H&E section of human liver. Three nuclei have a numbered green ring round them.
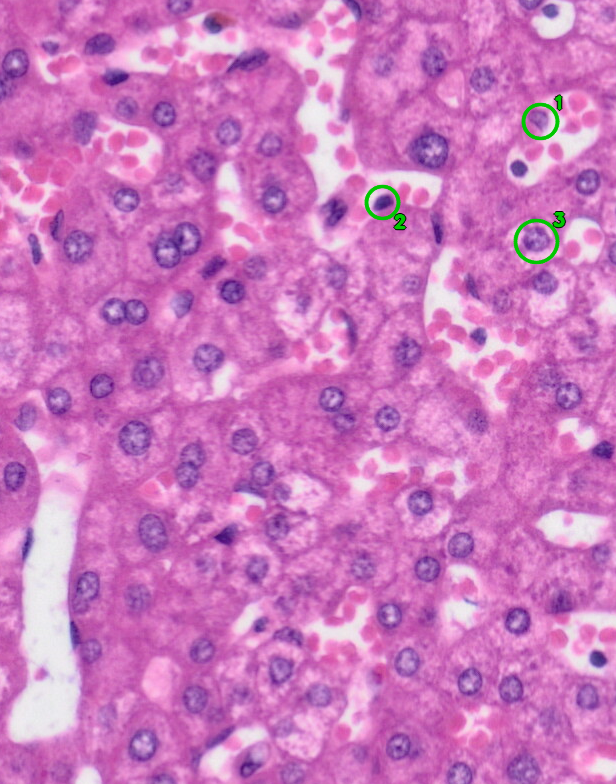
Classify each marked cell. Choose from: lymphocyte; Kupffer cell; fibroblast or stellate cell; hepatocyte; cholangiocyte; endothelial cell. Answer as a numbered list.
1. Kupffer cell
2. lymphocyte
3. hepatocyte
